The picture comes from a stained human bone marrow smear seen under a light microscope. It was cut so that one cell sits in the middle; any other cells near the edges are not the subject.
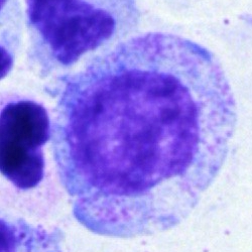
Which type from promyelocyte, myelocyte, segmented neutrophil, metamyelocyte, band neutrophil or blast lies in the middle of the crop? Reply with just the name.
promyelocyte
